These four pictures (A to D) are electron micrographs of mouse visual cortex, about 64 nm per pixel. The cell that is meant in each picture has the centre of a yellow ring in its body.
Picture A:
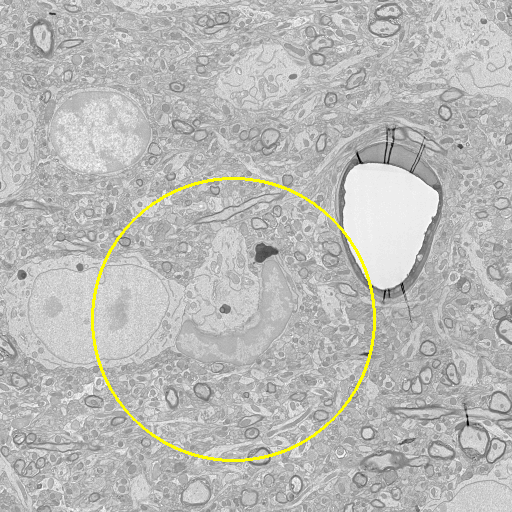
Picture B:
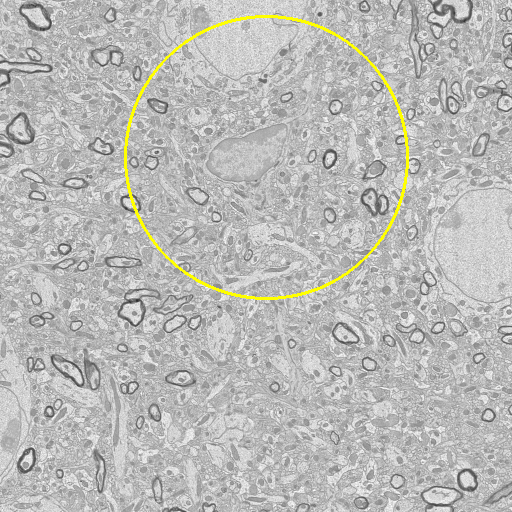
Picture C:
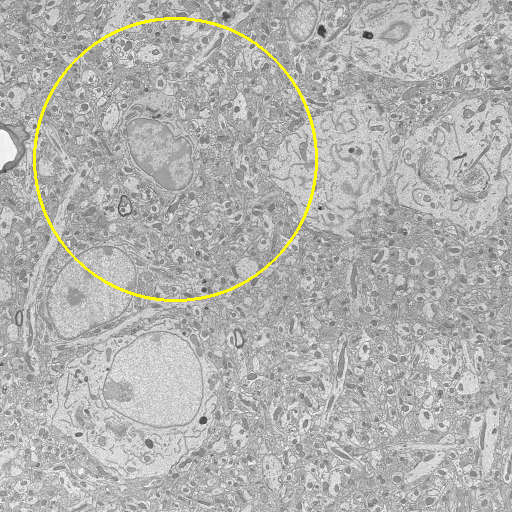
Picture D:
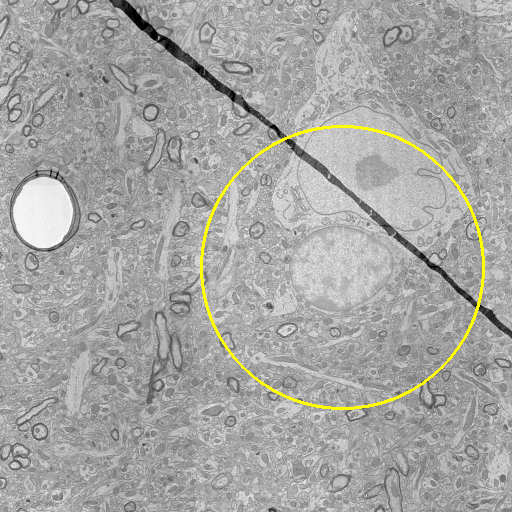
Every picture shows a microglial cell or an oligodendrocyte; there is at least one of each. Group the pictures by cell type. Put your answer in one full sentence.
Pictures A, B and C show microglial cells; picture D shows an oligodendrocyte.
